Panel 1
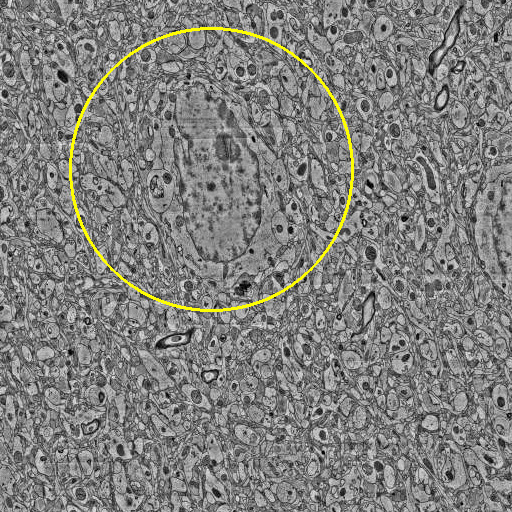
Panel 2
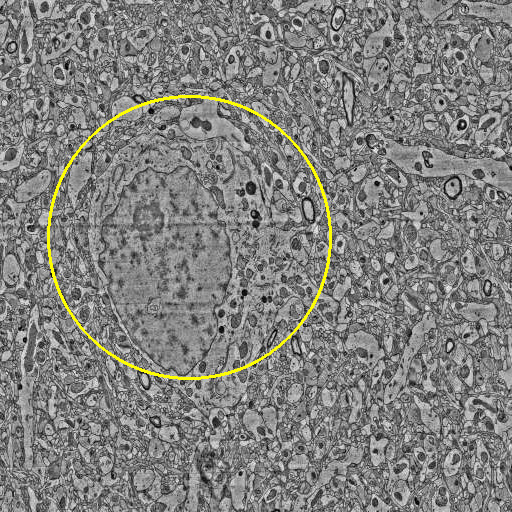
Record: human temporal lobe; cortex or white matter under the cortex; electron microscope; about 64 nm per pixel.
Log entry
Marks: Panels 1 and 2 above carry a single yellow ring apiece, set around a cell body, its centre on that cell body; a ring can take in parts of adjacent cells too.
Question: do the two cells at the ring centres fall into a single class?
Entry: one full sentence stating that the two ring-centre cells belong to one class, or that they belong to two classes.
The two ring-centre cells in Panels 1 and 2 belong to one class.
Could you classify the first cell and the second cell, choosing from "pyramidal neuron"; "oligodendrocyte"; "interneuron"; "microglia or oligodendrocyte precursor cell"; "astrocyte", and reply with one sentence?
Both the first and the second picture show an interneuron in the ring.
